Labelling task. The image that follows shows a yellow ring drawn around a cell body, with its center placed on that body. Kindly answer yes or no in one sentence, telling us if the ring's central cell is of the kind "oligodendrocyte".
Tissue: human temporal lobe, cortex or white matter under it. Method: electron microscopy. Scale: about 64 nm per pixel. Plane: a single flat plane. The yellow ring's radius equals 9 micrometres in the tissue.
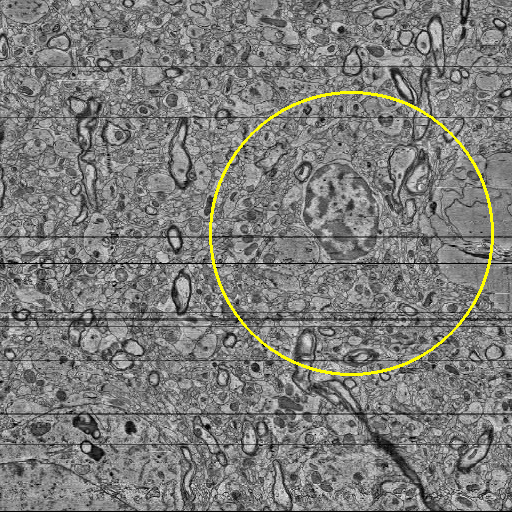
No, in this image the cell at the ring's center is of a different kind.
